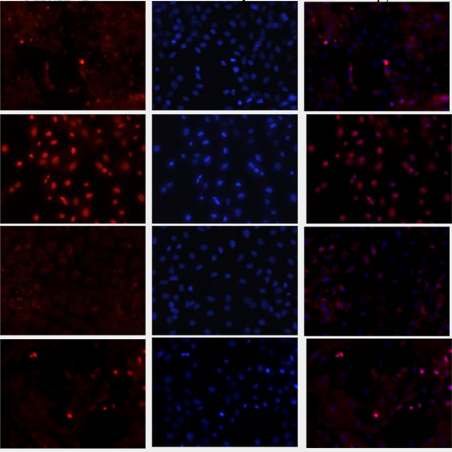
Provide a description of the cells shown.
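This is a grid of fluorescence images of cultured cells in four rows and three columns: red staining on the left, blue nuclear staining in the middle, and the two merged on the right. In the second row, red spots the size and shape of nuclei are bright and numerous, and in the merged image they coincide with the nuclei as pink-magenta dots. In the other rows the red is mostly faint and diffuse, with only a few bright red dots.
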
